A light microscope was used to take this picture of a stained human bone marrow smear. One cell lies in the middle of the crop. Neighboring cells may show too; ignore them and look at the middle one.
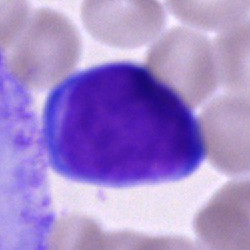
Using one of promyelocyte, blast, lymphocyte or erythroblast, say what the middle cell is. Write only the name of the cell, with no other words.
blast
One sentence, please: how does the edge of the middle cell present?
The edge of the cell is unbroken and smooth, bearing no projections.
